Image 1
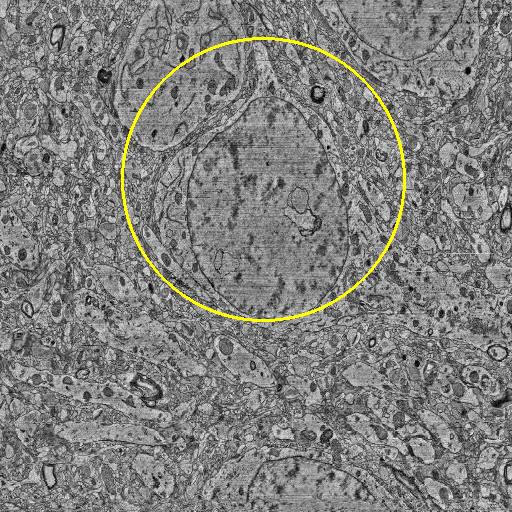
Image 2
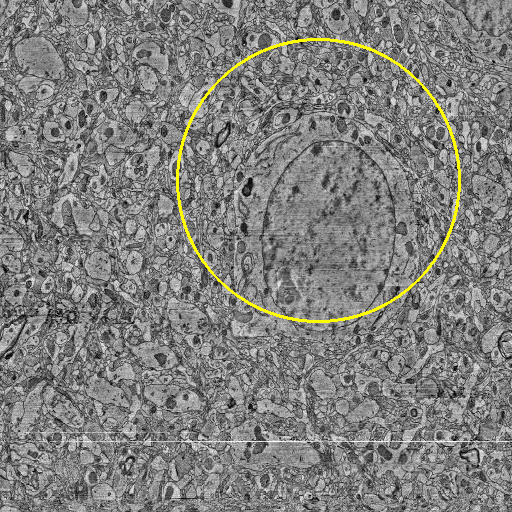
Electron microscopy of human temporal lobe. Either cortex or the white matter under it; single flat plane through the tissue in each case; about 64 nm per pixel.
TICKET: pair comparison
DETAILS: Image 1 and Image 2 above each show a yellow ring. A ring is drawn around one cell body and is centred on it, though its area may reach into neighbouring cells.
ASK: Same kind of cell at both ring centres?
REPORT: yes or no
yes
